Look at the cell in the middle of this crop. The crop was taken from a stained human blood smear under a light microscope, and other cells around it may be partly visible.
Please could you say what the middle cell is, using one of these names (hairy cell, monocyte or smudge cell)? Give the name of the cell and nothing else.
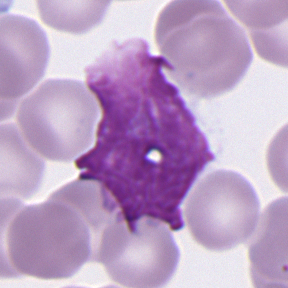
smudge cell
